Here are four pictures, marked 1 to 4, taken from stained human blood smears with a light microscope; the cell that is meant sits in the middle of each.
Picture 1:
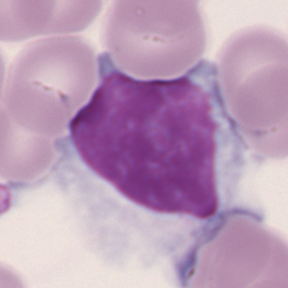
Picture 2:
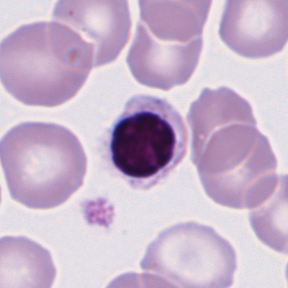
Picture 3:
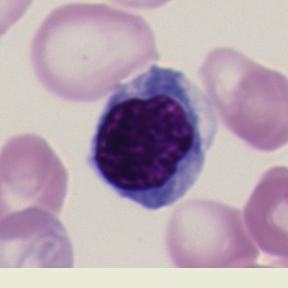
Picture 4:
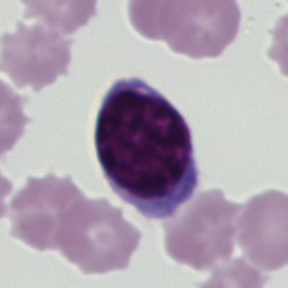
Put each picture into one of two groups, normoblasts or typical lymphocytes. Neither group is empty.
1: typical lymphocyte
2: normoblast
3: normoblast
4: normoblast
